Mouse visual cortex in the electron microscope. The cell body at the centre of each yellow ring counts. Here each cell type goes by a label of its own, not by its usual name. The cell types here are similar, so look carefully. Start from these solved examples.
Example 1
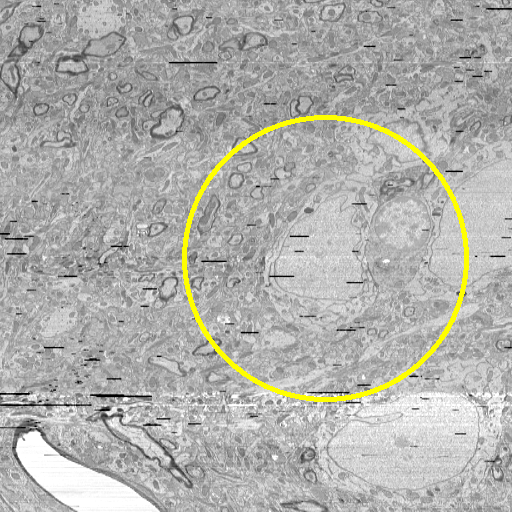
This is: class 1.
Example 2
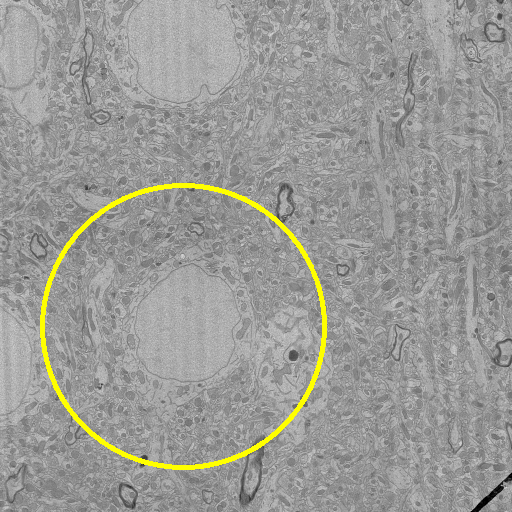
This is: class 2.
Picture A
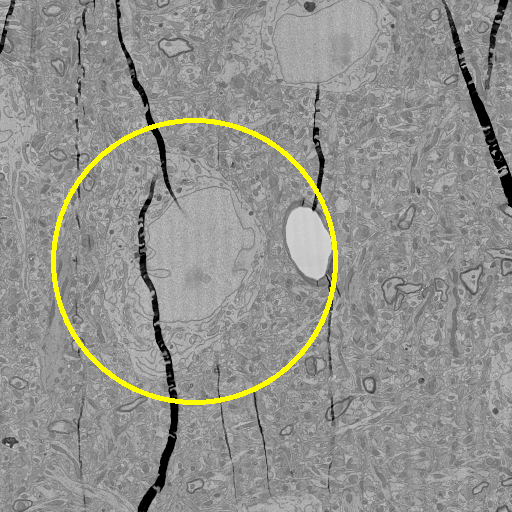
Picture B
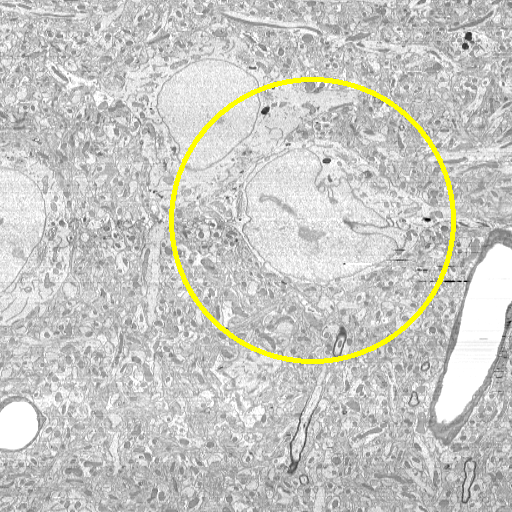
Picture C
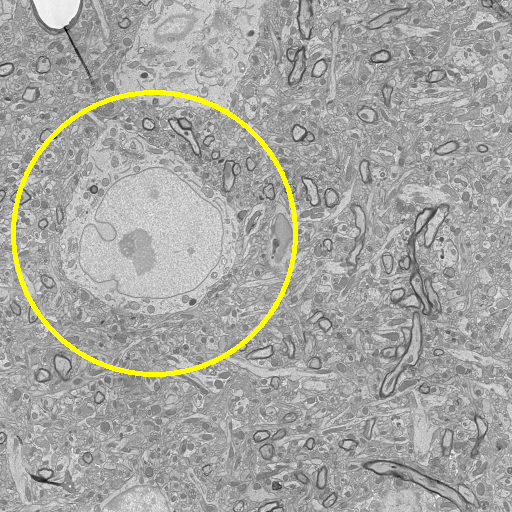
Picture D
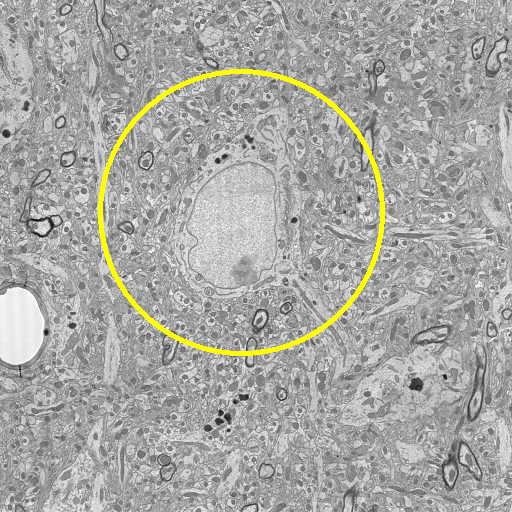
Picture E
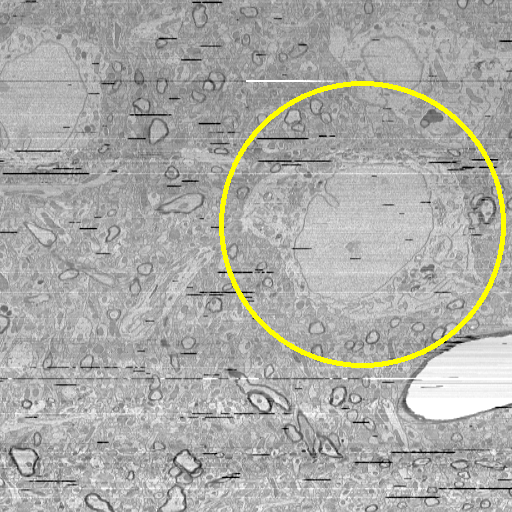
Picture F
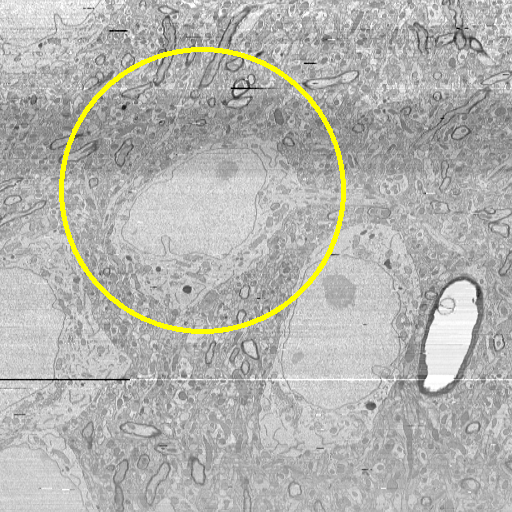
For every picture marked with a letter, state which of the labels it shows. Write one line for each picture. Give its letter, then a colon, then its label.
A: class 1.
B: class 1.
C: class 2.
D: class 2.
E: class 1.
F: class 2.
